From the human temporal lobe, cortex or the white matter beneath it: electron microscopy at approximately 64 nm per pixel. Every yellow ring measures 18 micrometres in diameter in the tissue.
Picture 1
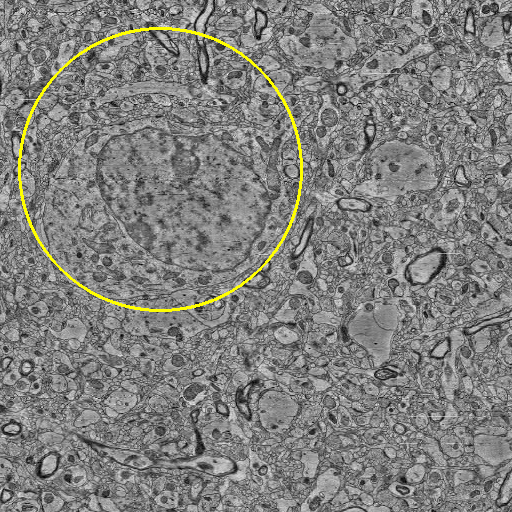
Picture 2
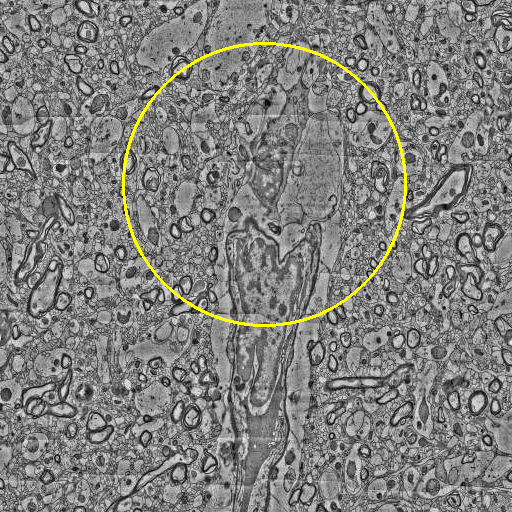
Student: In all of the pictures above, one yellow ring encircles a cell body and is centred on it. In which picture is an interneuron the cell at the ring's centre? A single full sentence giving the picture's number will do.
Picture number 1 has the wanted cell right at the centre of its ring.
